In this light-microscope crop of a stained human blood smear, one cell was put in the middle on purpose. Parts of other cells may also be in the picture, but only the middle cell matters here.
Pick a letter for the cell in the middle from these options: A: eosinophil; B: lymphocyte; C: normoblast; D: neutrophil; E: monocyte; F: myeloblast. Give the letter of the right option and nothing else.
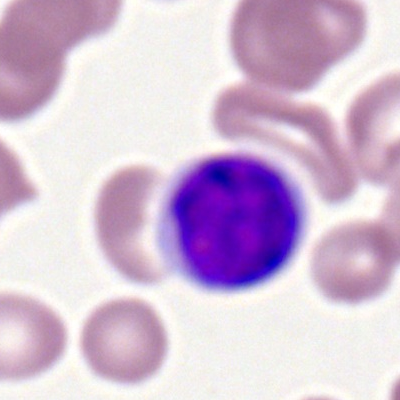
B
